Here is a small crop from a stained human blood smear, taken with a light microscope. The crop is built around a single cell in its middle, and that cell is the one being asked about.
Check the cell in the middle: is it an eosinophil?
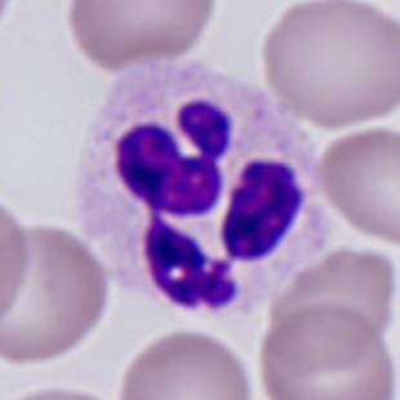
no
